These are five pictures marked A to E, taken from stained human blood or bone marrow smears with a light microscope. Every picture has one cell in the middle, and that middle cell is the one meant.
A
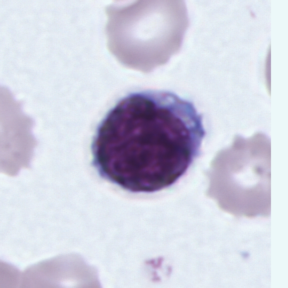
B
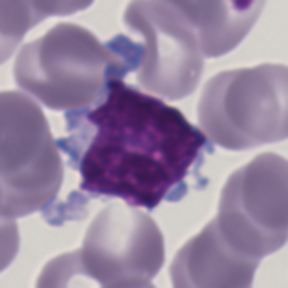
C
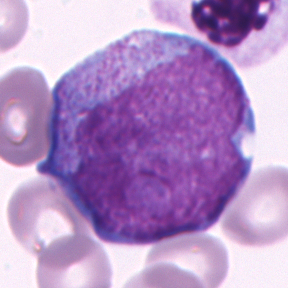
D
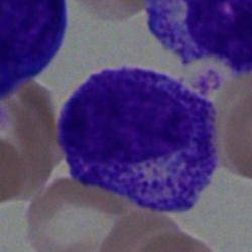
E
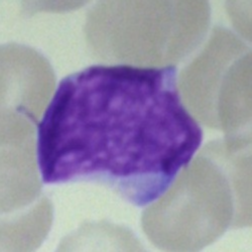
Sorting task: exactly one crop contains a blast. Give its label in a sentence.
Of the crops given, a blast is found in crop E.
